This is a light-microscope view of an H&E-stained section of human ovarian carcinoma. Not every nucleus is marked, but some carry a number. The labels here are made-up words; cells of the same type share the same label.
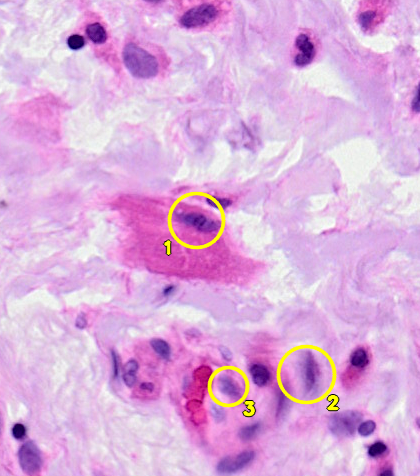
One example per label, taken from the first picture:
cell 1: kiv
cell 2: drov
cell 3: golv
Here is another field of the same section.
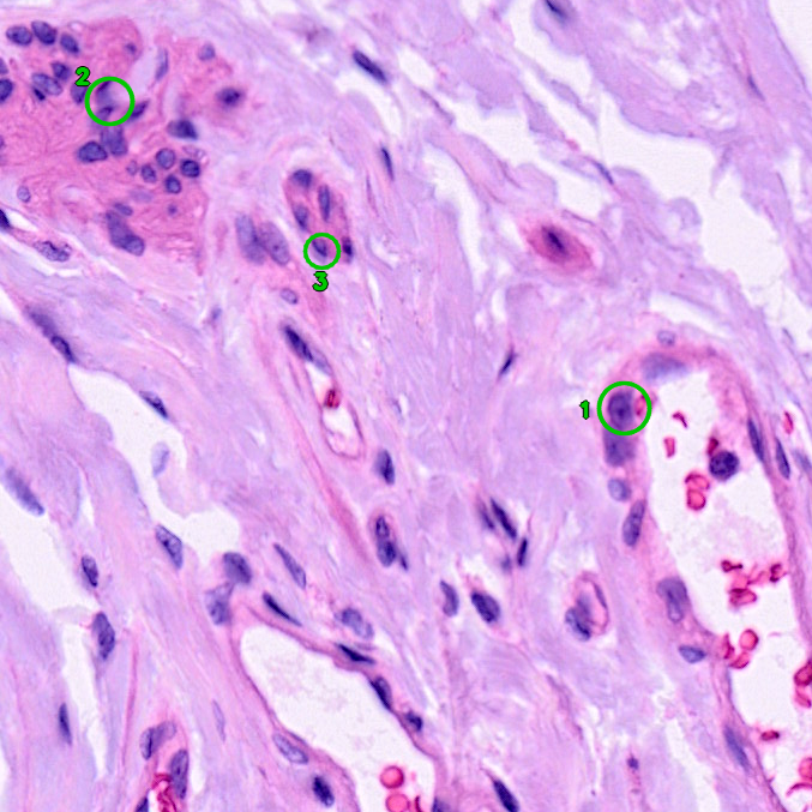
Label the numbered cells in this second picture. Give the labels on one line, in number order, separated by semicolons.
golv; kiv; kiv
